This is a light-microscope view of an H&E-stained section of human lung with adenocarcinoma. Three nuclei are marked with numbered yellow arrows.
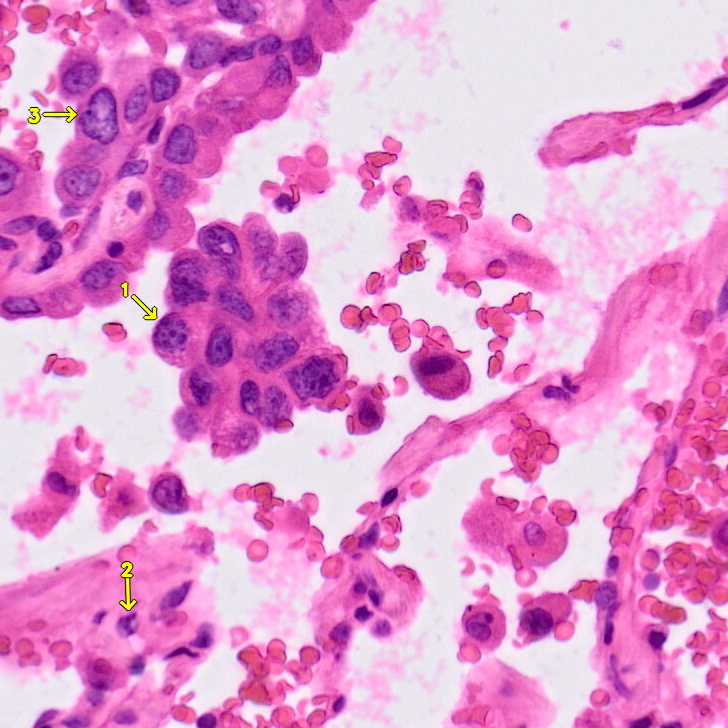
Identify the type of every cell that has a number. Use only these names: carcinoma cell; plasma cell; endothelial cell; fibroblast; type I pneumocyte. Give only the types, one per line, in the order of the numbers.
carcinoma cell
fibroblast
carcinoma cell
